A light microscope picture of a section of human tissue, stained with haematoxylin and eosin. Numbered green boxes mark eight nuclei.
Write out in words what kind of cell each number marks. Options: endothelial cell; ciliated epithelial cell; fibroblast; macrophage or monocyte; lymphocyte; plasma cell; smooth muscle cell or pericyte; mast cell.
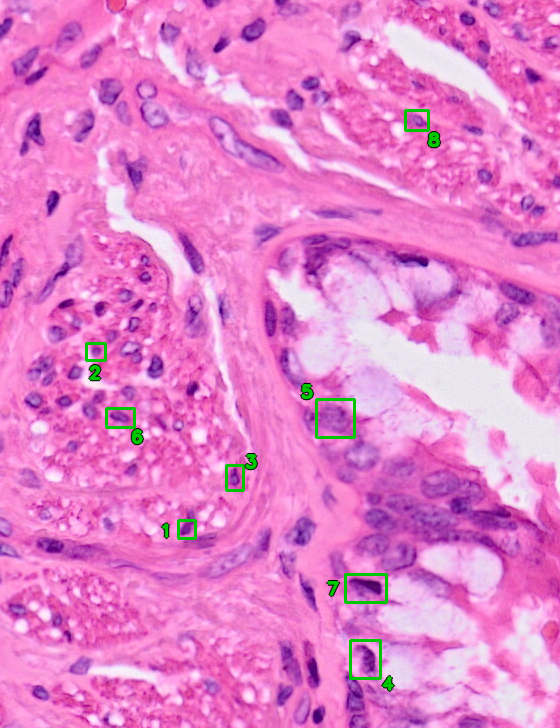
Cell 1 is a smooth muscle cell or pericyte, cell 2 is a smooth muscle cell or pericyte, cell 3 is a smooth muscle cell or pericyte, cell 4 is a ciliated epithelial cell, cell 5 is a ciliated epithelial cell, cell 6 is a smooth muscle cell or pericyte, cell 7 is a ciliated epithelial cell and cell 8 is a smooth muscle cell or pericyte.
